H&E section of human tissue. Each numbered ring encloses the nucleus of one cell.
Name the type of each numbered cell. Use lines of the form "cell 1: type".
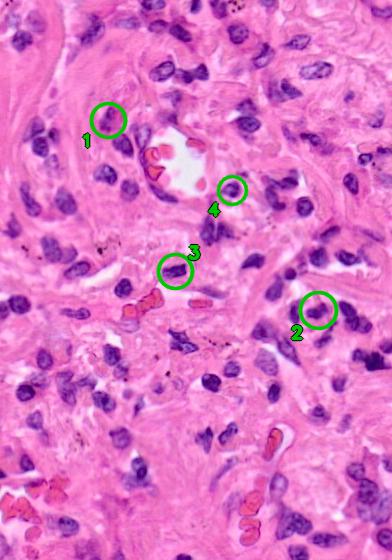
cell 1: plasma cell
cell 2: lymphocyte
cell 3: lymphocyte
cell 4: lymphocyte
